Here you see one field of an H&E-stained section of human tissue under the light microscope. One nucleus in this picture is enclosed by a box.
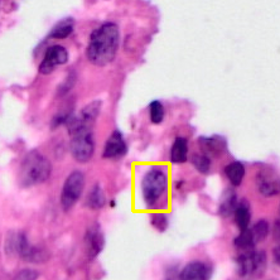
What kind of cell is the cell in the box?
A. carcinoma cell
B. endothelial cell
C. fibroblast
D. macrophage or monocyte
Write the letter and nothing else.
D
